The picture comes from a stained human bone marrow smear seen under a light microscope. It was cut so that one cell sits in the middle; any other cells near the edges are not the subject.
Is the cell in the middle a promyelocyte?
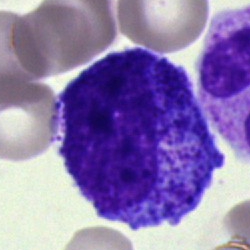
yes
